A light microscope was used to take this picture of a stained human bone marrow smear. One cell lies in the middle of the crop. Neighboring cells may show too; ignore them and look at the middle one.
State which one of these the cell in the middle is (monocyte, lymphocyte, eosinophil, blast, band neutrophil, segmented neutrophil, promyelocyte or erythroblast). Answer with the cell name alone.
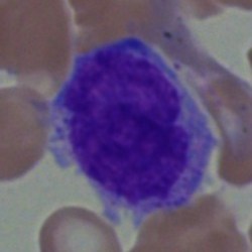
monocyte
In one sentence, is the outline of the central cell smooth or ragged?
Along its border, the cell is uneven, whether by ragged stretches or by projections.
